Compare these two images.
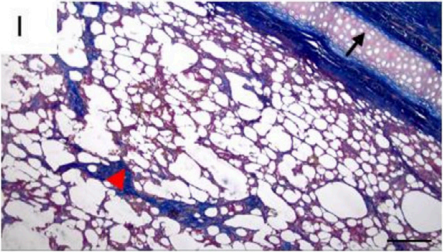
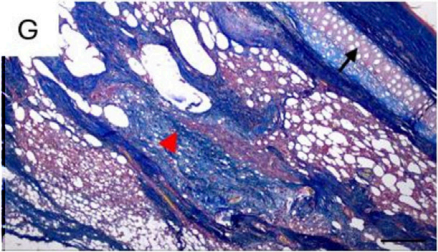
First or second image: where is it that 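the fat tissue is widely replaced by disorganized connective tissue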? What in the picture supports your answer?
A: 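Second image: broad, irregular blue-stained masses occupy much of the field among scattered fat cells. The answer: the second image.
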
